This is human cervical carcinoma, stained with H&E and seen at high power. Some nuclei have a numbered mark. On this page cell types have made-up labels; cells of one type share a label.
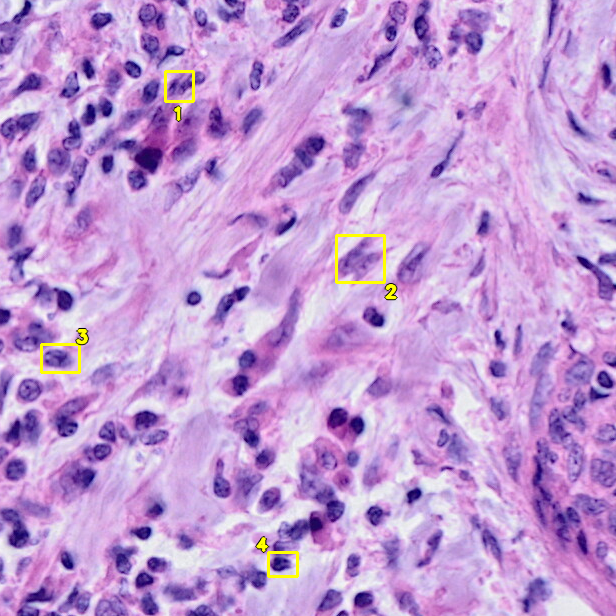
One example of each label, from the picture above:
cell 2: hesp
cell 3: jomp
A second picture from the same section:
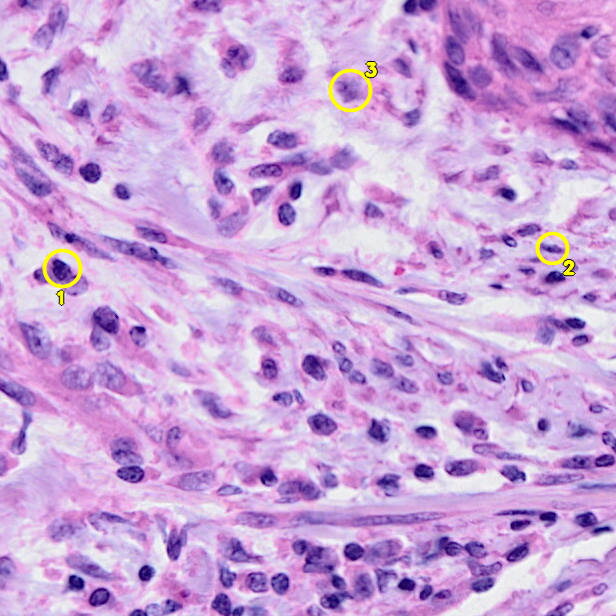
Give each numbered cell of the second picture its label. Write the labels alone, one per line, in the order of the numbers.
jomp
hesp
hesp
